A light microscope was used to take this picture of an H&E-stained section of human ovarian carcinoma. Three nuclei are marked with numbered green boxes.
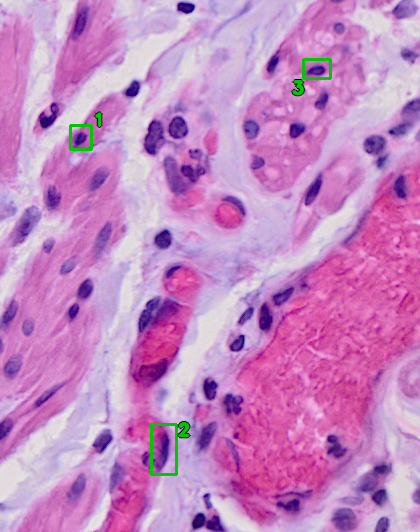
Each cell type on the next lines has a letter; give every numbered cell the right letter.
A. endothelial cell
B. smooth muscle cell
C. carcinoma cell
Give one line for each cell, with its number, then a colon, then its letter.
1: B
2: A
3: B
